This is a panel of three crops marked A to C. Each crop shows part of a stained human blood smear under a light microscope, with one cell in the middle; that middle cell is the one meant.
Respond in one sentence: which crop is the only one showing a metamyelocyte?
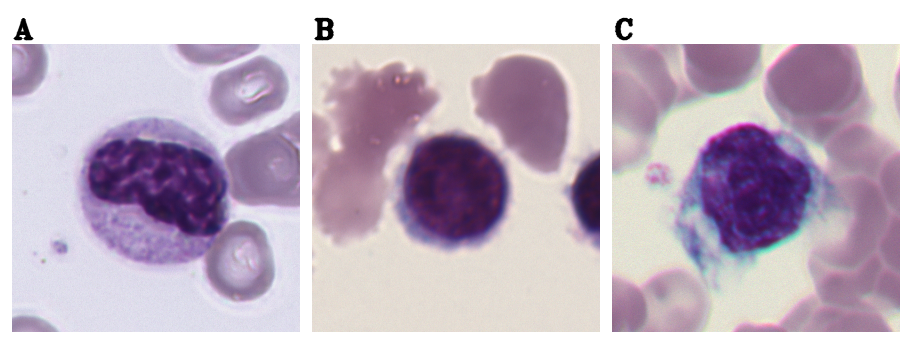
Crop A, of the crops presented, is the one showing a metamyelocyte.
